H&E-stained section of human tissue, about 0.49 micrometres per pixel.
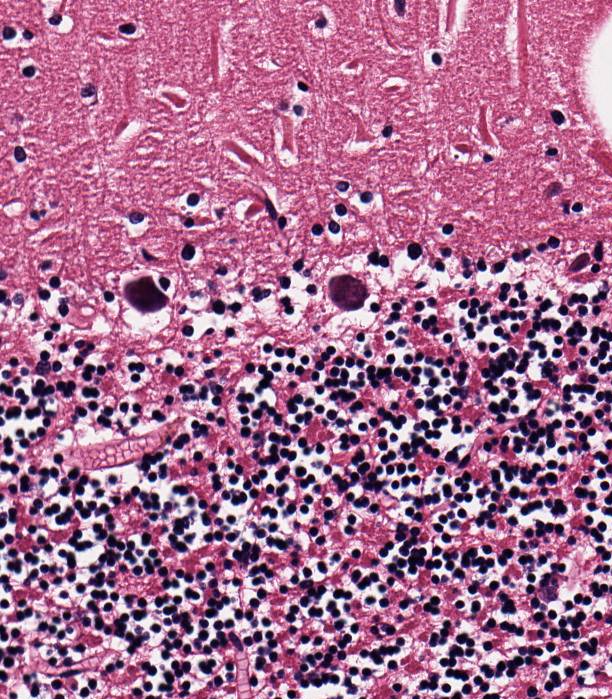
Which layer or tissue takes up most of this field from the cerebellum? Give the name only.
granular layer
